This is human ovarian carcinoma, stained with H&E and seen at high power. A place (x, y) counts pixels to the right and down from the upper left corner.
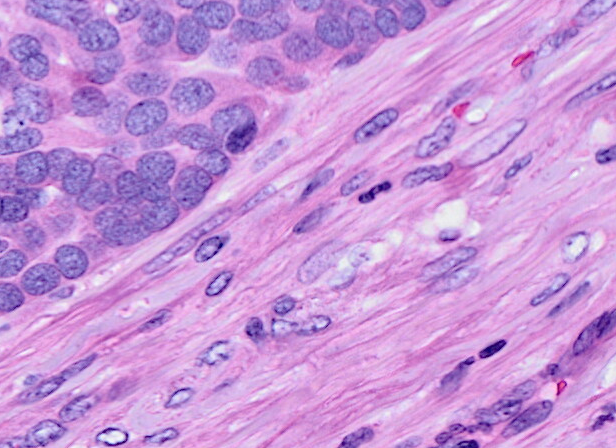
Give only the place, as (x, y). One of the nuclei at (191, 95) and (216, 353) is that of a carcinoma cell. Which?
(191, 95)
